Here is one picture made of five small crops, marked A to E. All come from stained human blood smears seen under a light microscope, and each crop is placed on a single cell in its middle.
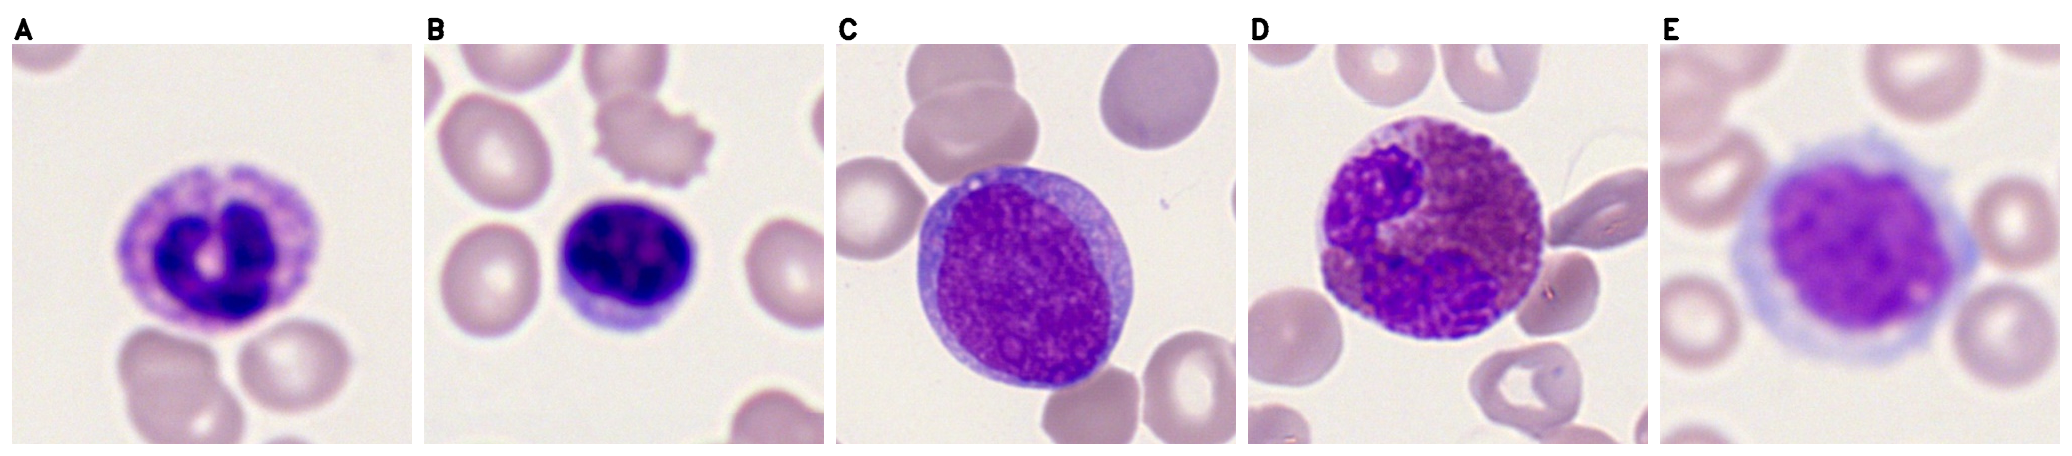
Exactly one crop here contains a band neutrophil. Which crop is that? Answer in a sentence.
Among all the crops given here, the one with a band neutrophil is crop A.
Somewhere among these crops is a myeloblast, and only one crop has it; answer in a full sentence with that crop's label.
Crop C is the one depicting a myeloblast.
